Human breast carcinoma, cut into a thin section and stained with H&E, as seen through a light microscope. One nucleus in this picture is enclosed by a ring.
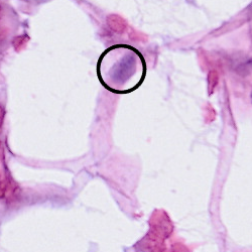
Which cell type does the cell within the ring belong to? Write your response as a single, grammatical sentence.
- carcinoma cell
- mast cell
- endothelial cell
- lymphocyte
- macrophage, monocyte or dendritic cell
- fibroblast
The identity of the cell within the ring: it is an endothelial cell.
